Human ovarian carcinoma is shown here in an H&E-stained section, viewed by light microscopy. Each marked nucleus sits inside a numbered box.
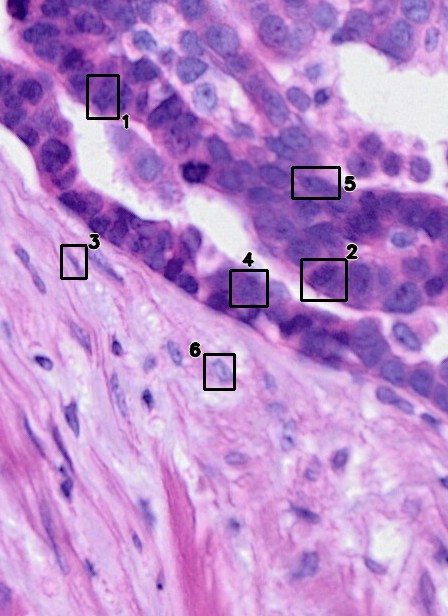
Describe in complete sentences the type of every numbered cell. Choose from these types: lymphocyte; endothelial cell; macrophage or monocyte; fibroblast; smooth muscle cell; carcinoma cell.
Cells 1, 2, 4 and 5 are carcinoma cells. Cells 3 and 6 are fibroblasts.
